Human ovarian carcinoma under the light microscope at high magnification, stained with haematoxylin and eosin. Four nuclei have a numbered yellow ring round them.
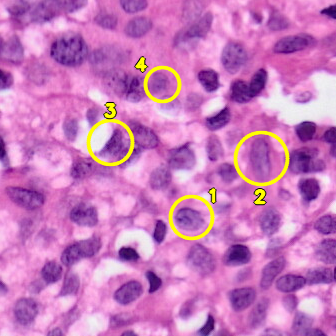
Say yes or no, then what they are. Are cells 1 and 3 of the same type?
No, cell 3 is a carcinoma cell, but cell 1 is a macrophage or monocyte.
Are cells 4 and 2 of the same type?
No, rather, cell 4 is a carcinoma cell and cell 2 is an endothelial cell.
